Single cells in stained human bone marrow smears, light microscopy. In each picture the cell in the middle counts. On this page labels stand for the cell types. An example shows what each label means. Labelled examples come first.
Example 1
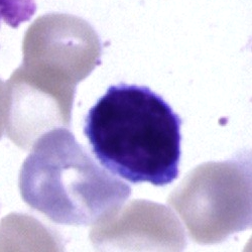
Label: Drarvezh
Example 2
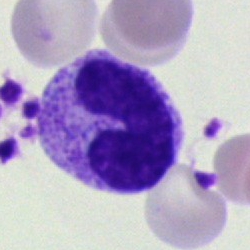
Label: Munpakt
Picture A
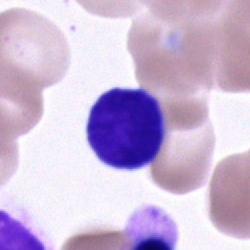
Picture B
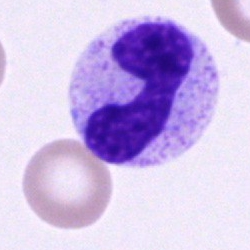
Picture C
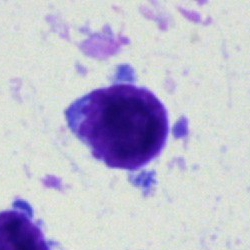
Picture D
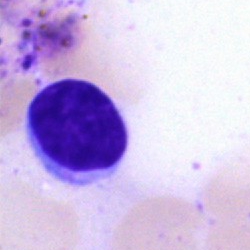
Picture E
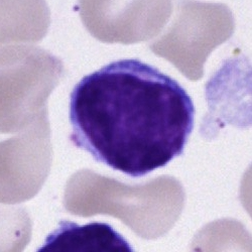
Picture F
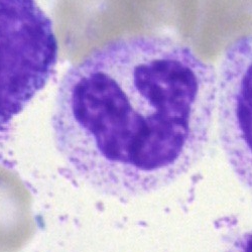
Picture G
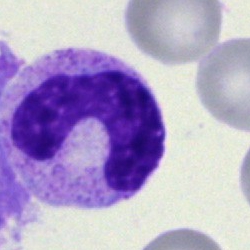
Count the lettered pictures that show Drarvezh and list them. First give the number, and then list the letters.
4, namely A, C, D, E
